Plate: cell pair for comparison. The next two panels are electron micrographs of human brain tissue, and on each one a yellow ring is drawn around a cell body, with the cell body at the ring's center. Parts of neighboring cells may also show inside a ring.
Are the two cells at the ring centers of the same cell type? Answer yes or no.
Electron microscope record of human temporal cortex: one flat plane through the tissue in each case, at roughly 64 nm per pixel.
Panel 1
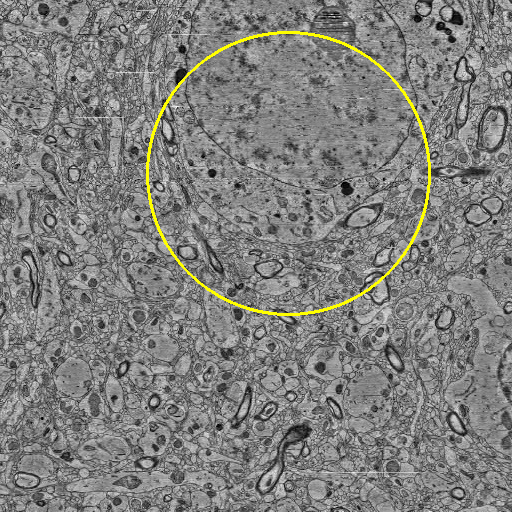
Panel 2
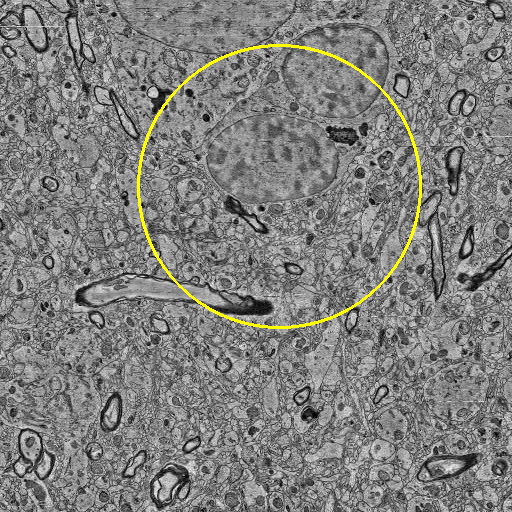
no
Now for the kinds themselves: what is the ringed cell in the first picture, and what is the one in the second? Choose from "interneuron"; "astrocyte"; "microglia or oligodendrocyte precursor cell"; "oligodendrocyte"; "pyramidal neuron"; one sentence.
Here the first cell is a pyramidal neuron and the second cell is an oligodendrocyte.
